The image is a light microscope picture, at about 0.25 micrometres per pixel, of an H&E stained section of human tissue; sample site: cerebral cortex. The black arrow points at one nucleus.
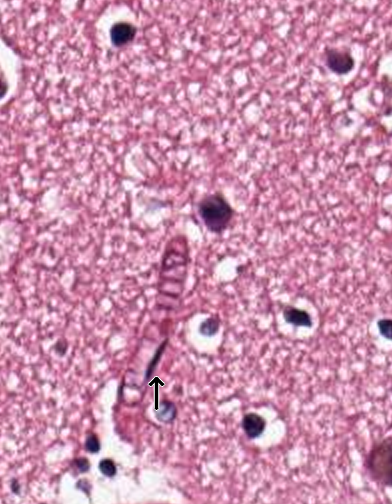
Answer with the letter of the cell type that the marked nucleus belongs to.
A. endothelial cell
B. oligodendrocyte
A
